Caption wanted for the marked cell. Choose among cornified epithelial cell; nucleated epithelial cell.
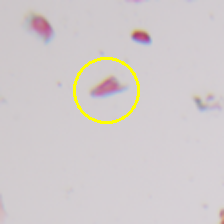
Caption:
Ringed in yellow is a nucleated epithelial cell.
